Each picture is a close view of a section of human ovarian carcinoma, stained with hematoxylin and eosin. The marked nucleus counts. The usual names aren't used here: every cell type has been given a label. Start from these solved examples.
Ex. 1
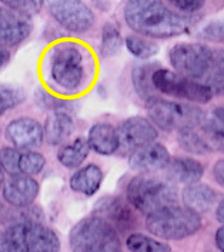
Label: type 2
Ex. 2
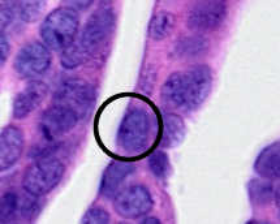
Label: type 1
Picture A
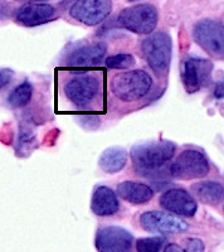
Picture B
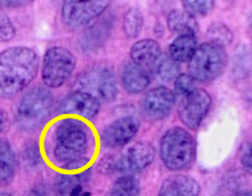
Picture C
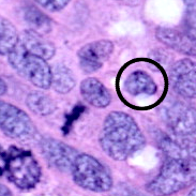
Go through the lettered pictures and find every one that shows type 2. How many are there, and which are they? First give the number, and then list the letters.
1: C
